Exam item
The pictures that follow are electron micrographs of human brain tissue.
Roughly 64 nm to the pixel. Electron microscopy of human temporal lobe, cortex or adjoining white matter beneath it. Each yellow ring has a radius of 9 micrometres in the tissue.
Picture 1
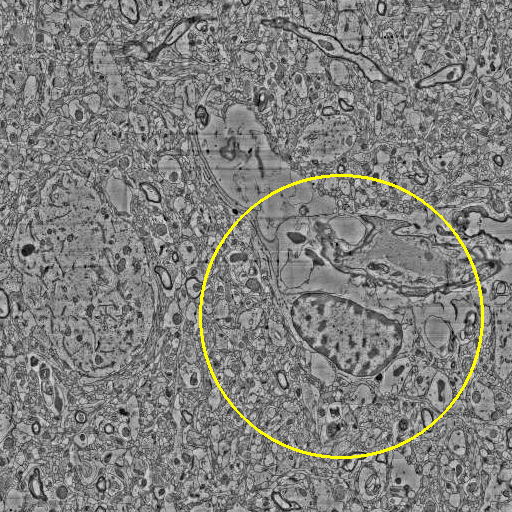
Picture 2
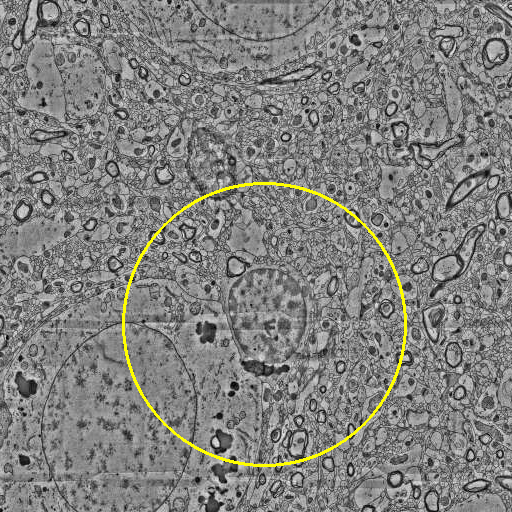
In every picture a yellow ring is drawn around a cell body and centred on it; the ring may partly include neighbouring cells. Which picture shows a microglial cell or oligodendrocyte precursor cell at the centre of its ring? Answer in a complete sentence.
The cell at the centre of the ring in Picture 1 is the one asked for.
